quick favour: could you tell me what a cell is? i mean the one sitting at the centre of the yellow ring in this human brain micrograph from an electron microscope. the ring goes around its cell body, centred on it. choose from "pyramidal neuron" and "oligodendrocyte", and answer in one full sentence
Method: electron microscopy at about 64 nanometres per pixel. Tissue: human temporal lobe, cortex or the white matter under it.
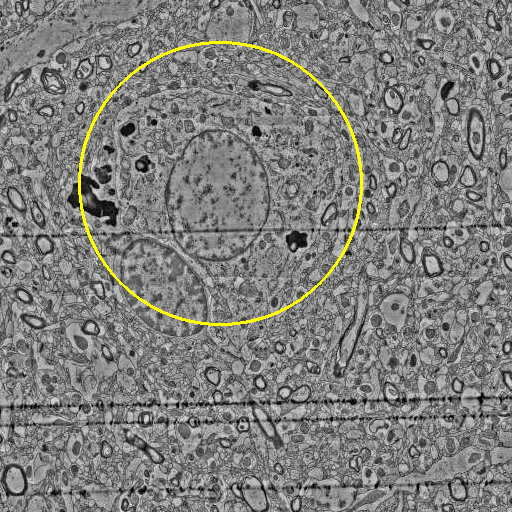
That's a pyramidal neuron, the cell sitting at the centre of the yellow ring.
